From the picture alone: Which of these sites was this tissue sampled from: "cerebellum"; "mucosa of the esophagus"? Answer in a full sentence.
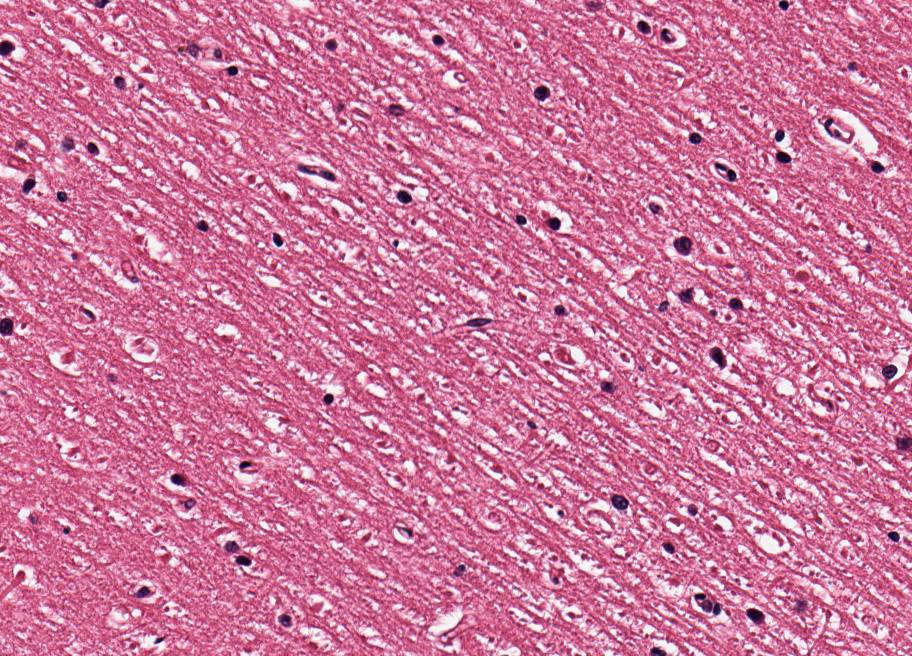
The site this tissue was sampled from is the cerebellum.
